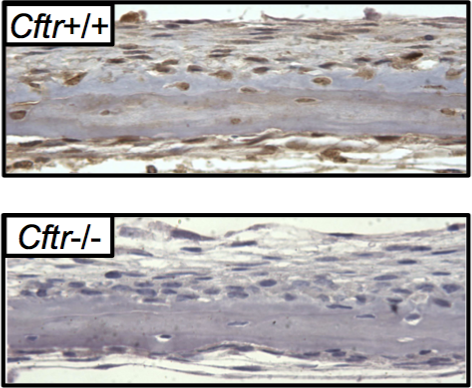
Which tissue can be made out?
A: Calvariae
